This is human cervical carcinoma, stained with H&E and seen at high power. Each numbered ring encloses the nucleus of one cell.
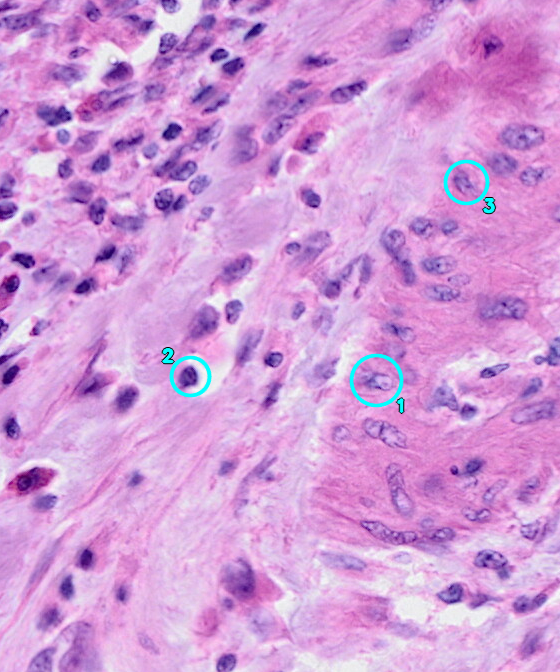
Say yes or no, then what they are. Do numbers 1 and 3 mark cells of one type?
Yes, the cell marked 1 and the cell marked 3 are both smooth muscle cells.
